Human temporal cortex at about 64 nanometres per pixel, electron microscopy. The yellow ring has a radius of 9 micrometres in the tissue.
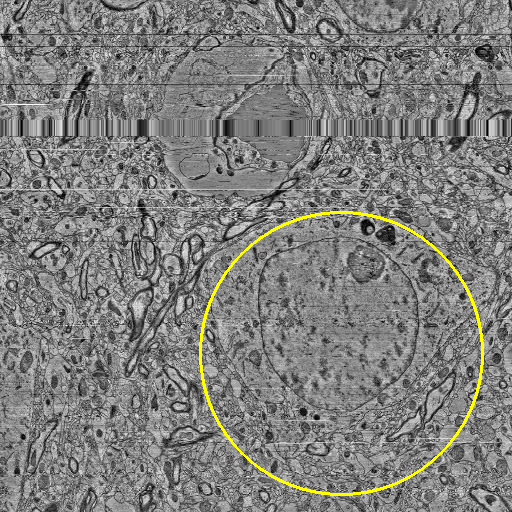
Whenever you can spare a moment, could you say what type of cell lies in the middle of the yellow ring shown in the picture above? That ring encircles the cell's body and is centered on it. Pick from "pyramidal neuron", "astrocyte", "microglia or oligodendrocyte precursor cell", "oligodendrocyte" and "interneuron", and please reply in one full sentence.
The cell whose body sits at the middle of the yellow ring is a pyramidal neuron.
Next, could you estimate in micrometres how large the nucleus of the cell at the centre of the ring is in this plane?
The nucleus is approximately 11 micrometers across in this plane.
